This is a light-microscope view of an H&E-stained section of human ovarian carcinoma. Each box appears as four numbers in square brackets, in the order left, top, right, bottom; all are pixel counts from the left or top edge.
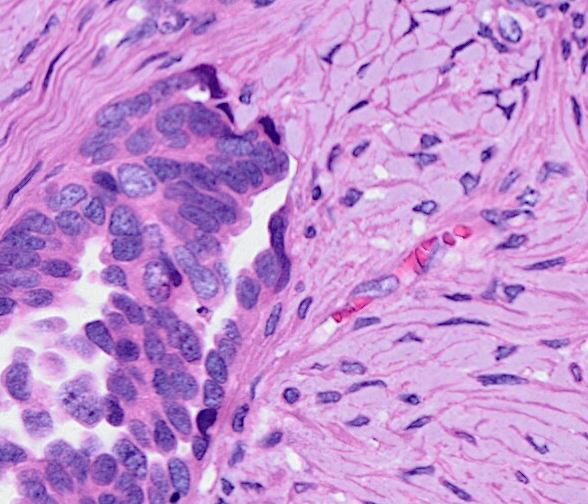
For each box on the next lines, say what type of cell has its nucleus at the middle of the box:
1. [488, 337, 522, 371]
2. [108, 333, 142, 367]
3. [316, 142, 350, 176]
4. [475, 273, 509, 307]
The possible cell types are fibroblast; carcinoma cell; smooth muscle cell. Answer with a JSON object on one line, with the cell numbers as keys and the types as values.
{"1": "fibroblast", "2": "carcinoma cell", "3": "fibroblast", "4": "fibroblast"}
